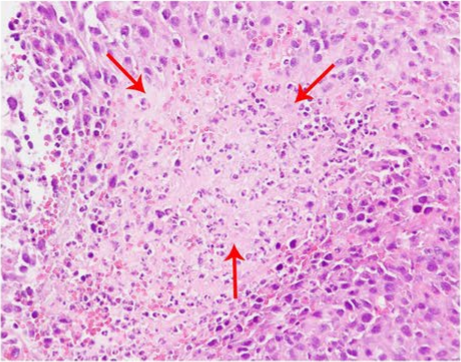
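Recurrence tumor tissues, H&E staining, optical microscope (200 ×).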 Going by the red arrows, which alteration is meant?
necrosis areas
